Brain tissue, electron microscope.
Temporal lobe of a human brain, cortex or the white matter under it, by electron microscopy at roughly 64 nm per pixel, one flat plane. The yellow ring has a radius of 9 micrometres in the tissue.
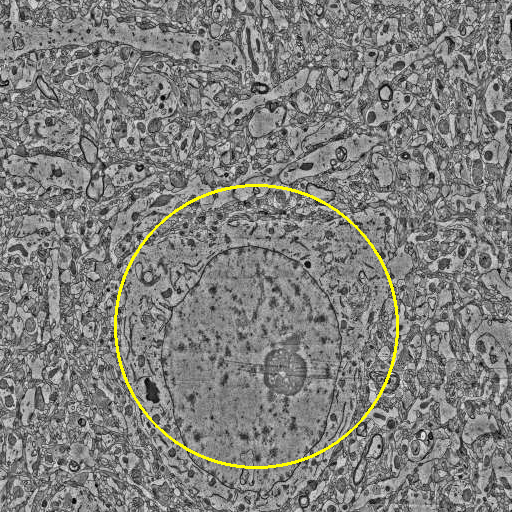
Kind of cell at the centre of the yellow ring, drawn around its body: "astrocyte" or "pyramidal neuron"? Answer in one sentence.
The ring's centre falls on a pyramidal neuron.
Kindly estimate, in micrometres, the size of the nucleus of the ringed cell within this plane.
The nucleus appears roughly 16 by 12 micrometres in this plane.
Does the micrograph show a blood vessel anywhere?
No, there is none.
